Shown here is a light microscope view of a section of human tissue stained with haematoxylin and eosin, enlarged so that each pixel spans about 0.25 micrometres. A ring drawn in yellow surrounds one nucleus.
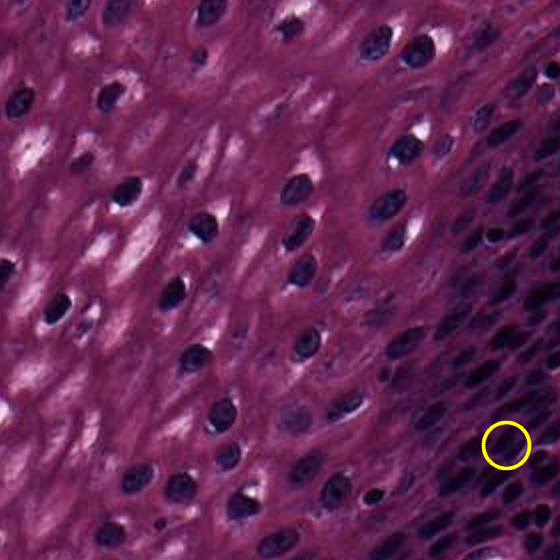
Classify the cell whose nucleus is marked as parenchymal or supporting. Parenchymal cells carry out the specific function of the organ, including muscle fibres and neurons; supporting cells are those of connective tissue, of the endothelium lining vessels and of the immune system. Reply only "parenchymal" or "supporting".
parenchymal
